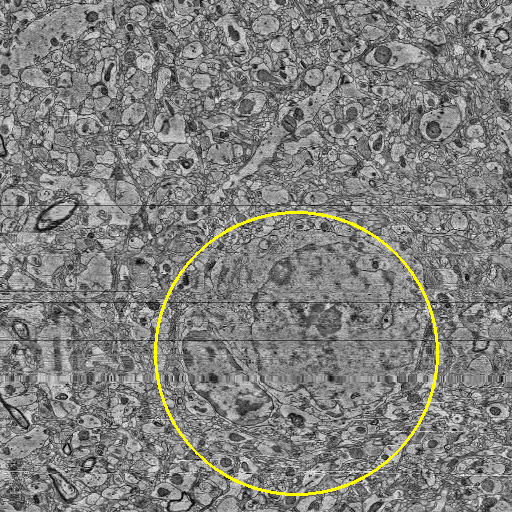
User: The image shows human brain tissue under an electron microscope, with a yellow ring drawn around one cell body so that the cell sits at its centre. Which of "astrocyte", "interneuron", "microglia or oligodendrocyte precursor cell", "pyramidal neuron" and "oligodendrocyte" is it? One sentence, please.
At the centre of the ring sits an interneuron.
